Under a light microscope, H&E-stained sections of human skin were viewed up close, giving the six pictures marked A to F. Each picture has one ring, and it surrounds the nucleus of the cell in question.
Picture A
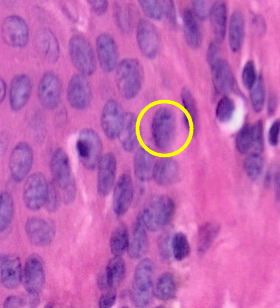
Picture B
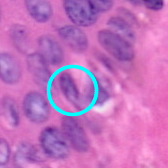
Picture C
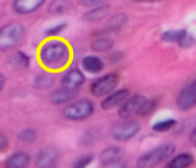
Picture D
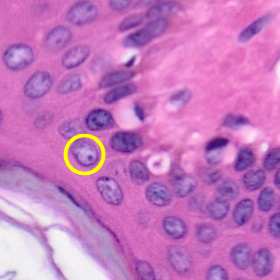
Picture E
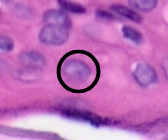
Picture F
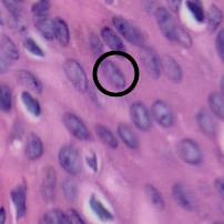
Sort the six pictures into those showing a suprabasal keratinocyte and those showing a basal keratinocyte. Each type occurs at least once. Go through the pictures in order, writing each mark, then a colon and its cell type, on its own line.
A: basal keratinocyte
B: basal keratinocyte
C: suprabasal keratinocyte
D: suprabasal keratinocyte
E: suprabasal keratinocyte
F: suprabasal keratinocyte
